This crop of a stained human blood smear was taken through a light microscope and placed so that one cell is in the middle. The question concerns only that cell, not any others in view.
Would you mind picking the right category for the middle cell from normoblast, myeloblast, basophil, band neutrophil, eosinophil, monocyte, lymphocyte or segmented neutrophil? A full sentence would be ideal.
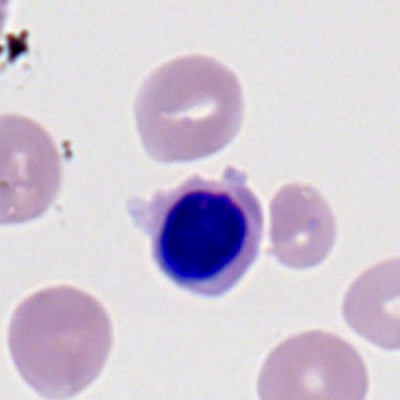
The cell at the middle of the frame should be recorded as a normoblast.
